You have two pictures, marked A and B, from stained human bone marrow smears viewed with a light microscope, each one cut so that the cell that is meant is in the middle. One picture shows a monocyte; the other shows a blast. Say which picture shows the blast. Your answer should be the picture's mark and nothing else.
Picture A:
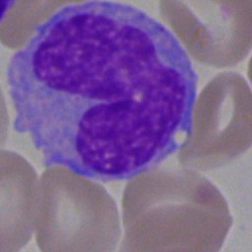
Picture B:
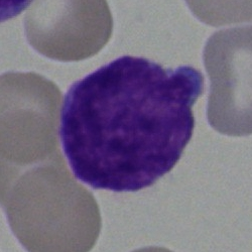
B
